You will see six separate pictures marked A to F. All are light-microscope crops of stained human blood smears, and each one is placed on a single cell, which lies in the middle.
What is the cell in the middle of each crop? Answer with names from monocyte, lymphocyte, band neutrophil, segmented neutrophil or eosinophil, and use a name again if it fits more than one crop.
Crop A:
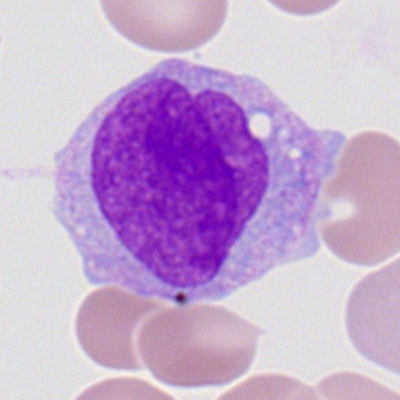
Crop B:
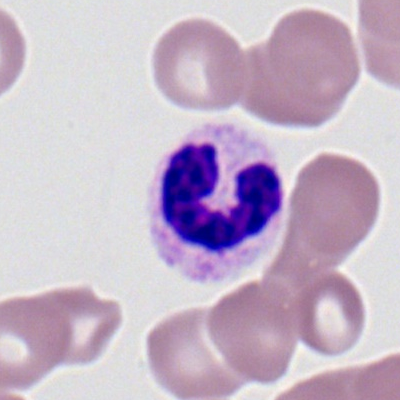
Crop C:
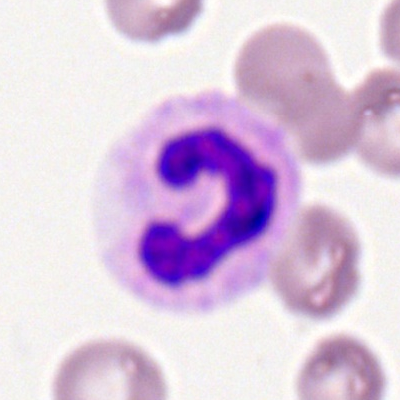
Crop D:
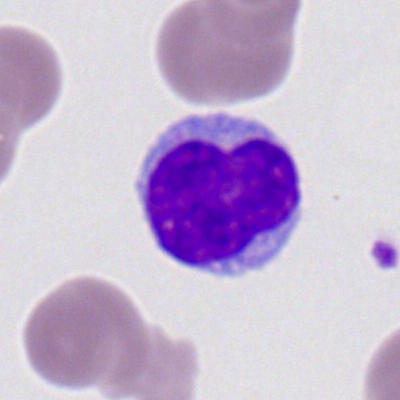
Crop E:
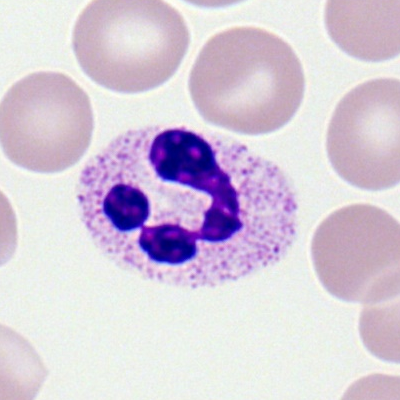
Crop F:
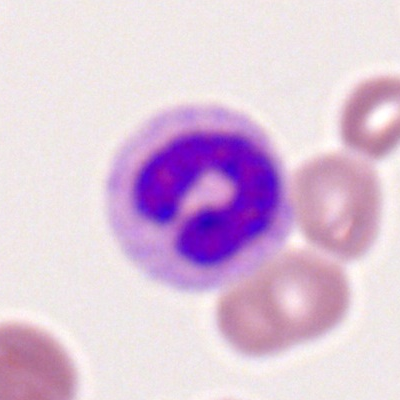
A: monocyte
B: band neutrophil
C: band neutrophil
D: lymphocyte
E: segmented neutrophil
F: band neutrophil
